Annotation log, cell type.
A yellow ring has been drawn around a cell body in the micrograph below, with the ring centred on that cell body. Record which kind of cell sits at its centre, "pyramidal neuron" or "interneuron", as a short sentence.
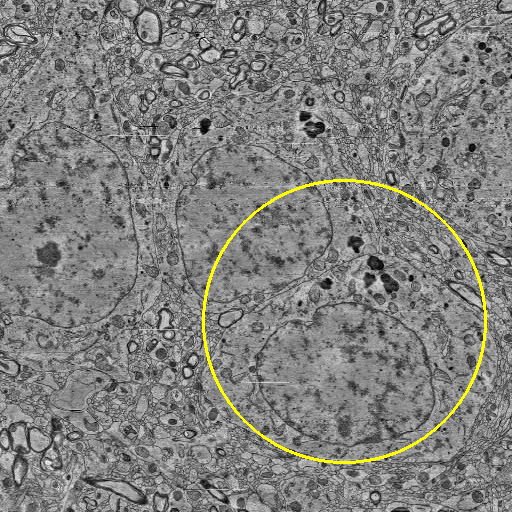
The cell at the centre of this ring is a pyramidal neuron.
